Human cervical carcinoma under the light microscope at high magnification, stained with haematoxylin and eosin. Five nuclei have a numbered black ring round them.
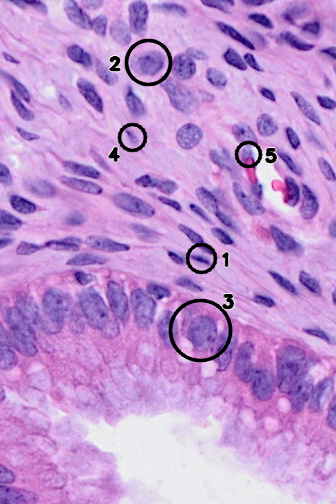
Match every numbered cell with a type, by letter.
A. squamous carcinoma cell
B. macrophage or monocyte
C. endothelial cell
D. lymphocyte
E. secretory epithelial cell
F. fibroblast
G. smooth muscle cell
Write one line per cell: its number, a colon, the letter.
1: F
2: F
3: E
4: F
5: C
